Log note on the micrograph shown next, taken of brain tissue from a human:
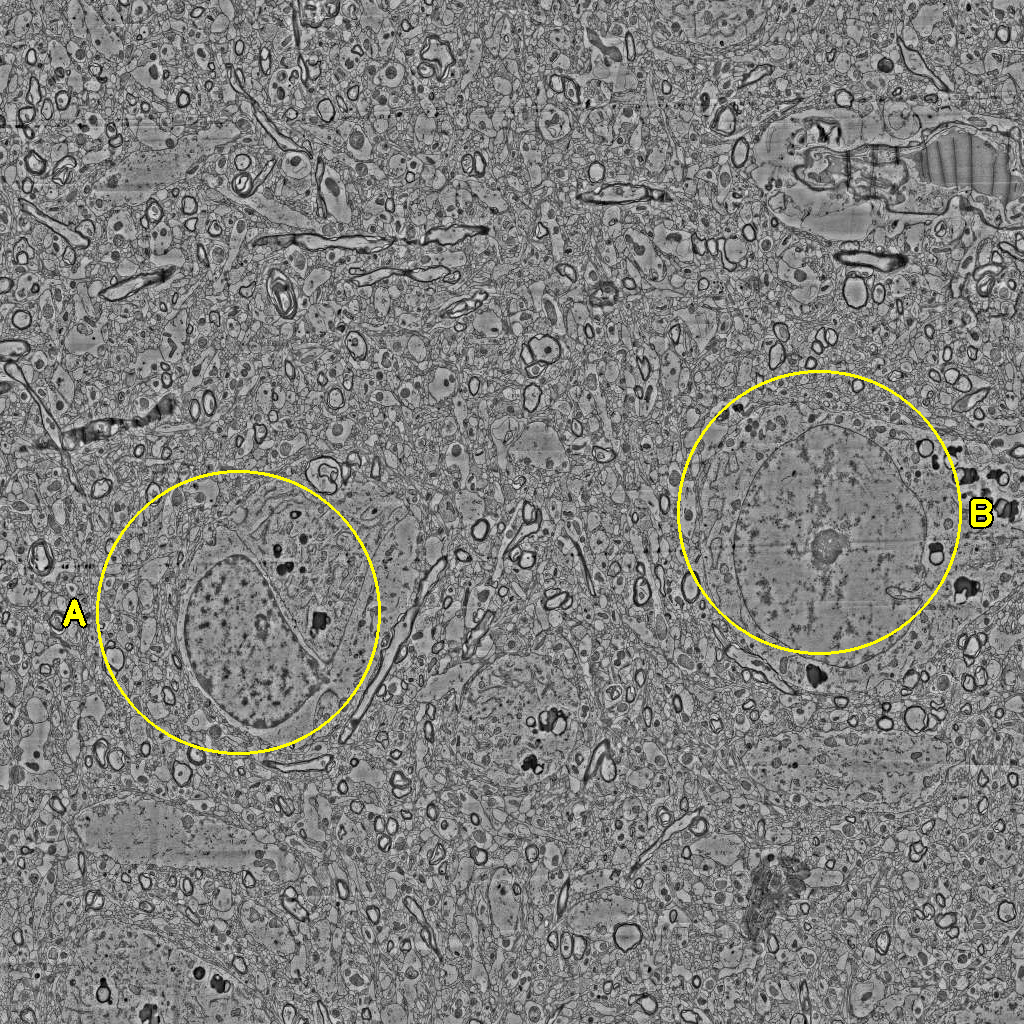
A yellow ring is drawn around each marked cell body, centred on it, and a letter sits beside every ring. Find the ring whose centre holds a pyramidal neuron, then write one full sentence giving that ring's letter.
In the picture, the cell asked for sits at the centre of ring B.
